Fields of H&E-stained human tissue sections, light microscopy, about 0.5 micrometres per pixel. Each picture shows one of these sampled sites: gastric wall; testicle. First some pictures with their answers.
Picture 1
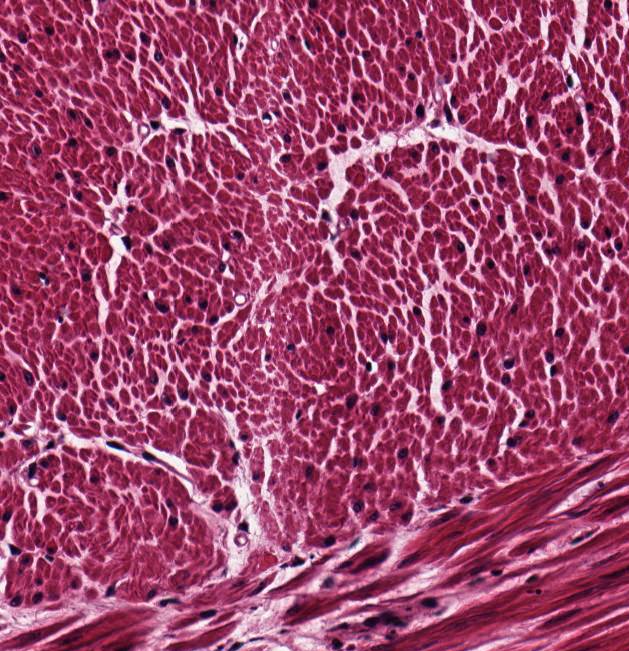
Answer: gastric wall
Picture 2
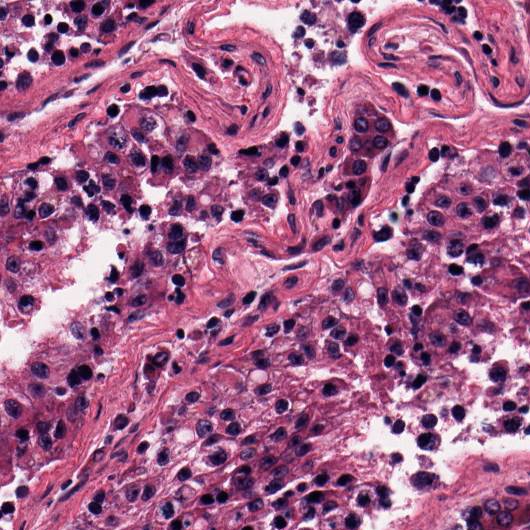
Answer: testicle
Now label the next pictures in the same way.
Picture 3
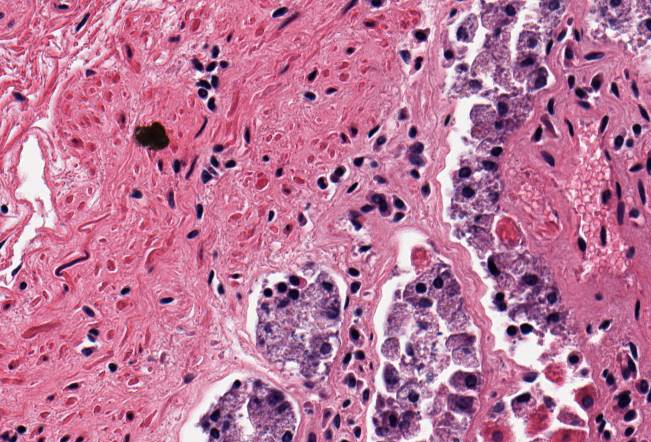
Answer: gastric wall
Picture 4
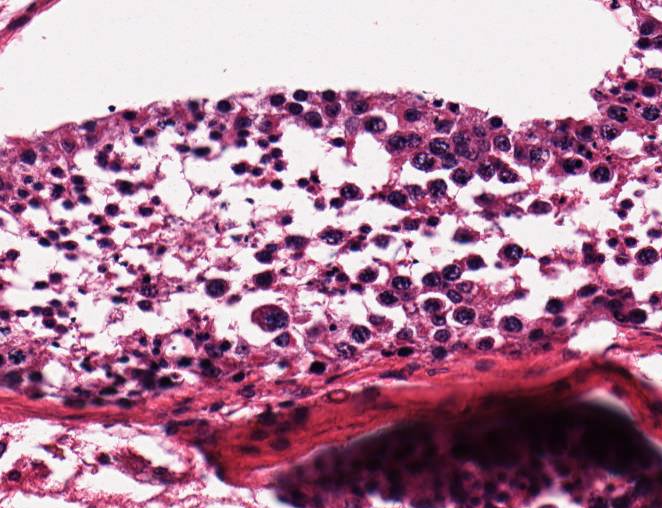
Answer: testicle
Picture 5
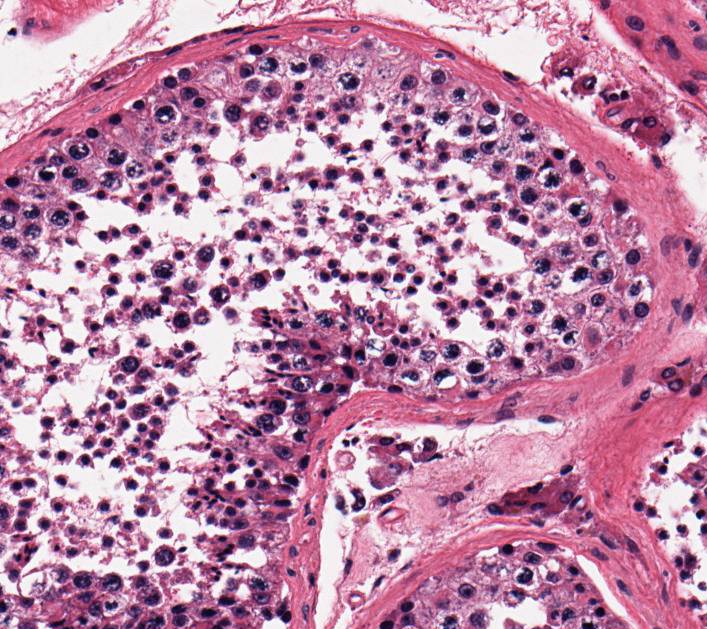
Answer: testicle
